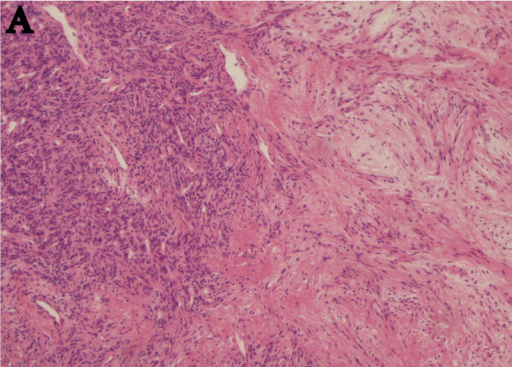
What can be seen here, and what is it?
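This is a spindle-cell tumour in which cell-rich areas alternate with pink, collagen-rich areas. On the left the slender, dark-blue nuclei are closely packed and run in short, haphazard fascicles. To the right, the cells are fewer and lie spread apart among thick, wavy pink bands of collagen. Thin-walled, slit-like vessels with open lumens cross the field.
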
